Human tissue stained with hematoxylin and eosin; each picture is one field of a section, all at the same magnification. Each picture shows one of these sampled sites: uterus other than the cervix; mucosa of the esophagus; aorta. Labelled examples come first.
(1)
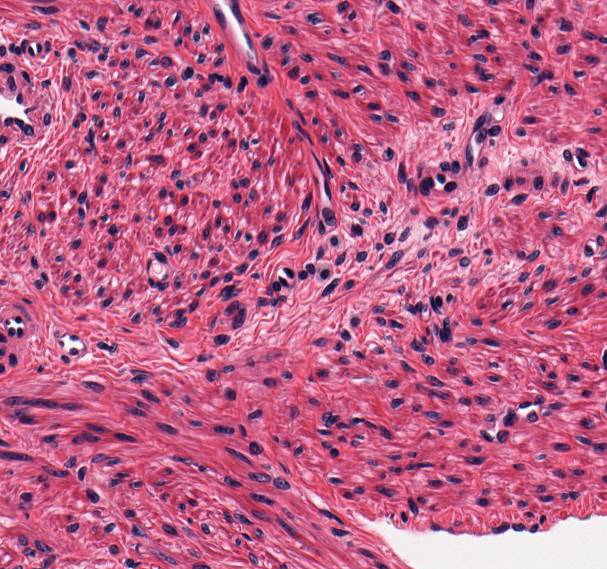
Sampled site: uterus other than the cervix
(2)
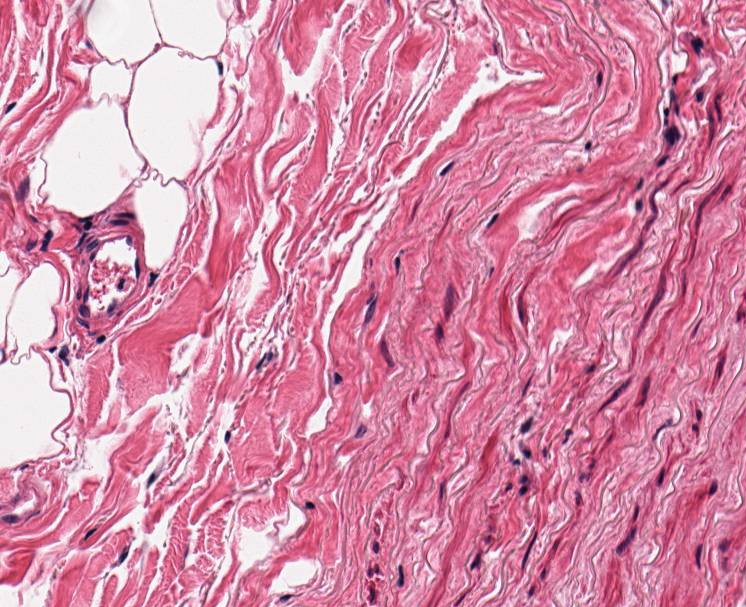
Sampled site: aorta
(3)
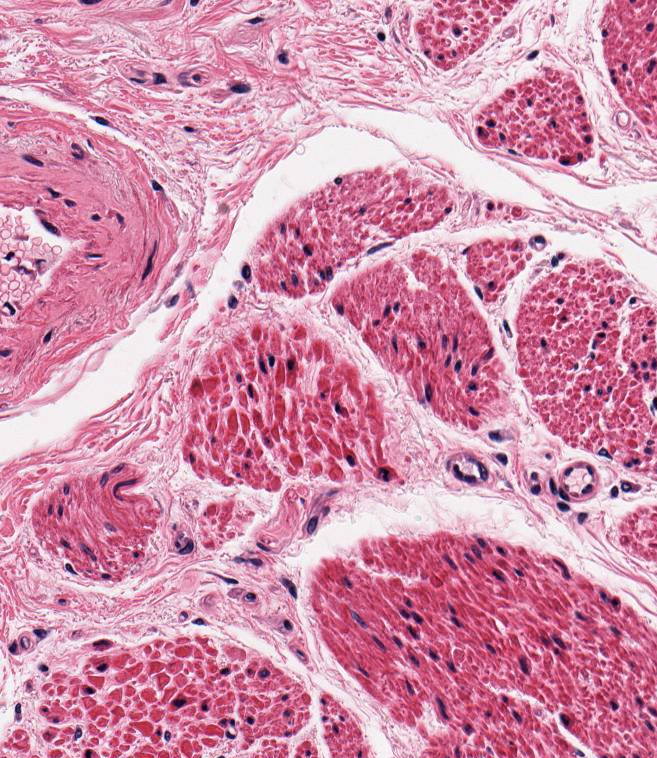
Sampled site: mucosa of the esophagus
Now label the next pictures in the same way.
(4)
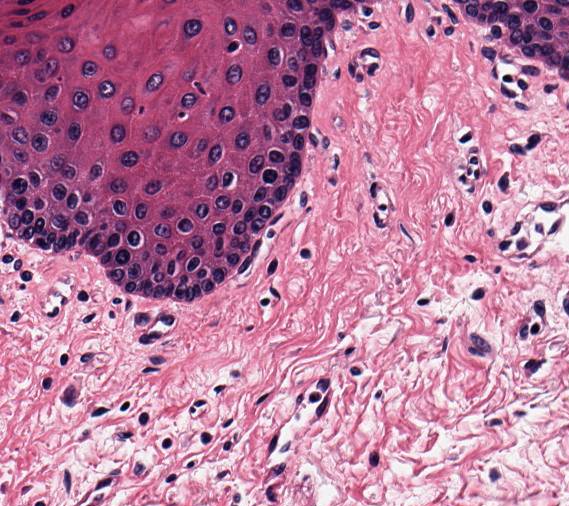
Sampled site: mucosa of the esophagus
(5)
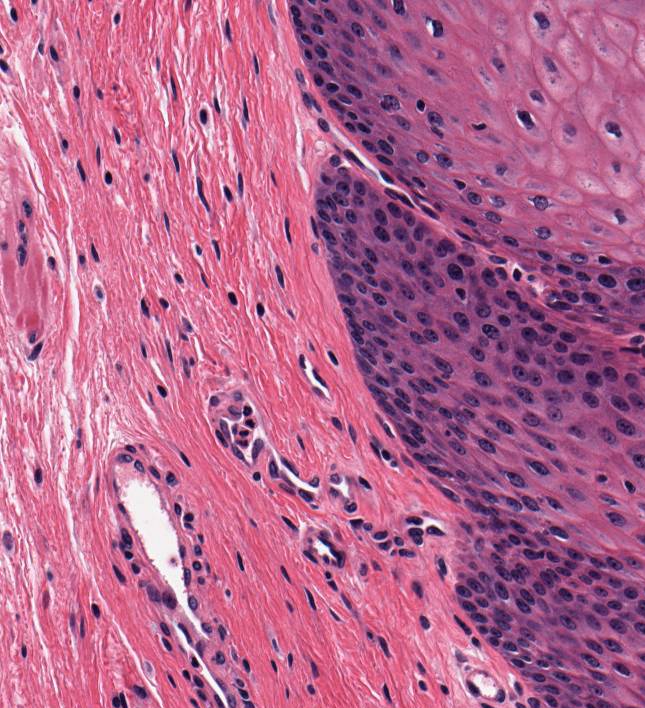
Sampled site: mucosa of the esophagus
